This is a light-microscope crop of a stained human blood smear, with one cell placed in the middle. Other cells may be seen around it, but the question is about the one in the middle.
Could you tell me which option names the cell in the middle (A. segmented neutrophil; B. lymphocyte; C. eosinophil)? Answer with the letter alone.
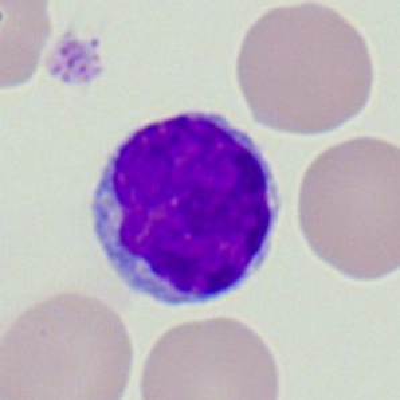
B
